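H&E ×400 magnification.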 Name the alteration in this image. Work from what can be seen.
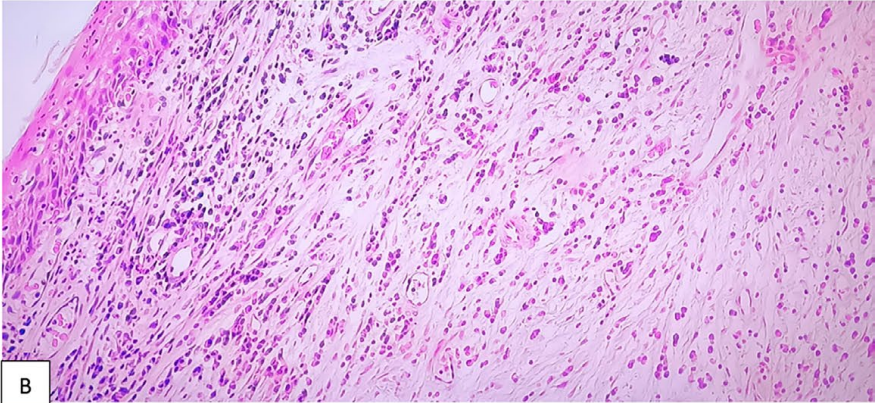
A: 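Numerous small cells with round dark nuclei are scattered densely through the tissue. The inflammatory cells lie among pale pink fibrous stroma and small vessels.
Marked lymphoplasmacytic infiltrates.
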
